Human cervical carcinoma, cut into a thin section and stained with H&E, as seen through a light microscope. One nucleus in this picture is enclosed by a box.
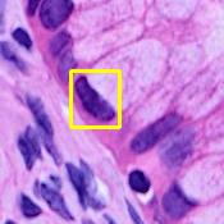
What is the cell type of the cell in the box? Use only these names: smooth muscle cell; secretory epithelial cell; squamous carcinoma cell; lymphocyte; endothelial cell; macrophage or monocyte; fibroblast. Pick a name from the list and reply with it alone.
secretory epithelial cell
